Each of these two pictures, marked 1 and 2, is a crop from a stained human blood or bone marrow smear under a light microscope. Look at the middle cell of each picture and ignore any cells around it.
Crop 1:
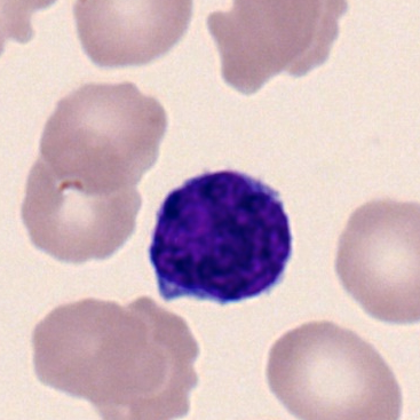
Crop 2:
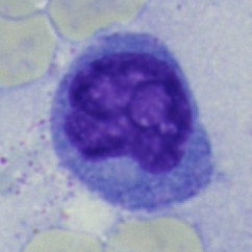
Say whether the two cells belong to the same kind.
no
